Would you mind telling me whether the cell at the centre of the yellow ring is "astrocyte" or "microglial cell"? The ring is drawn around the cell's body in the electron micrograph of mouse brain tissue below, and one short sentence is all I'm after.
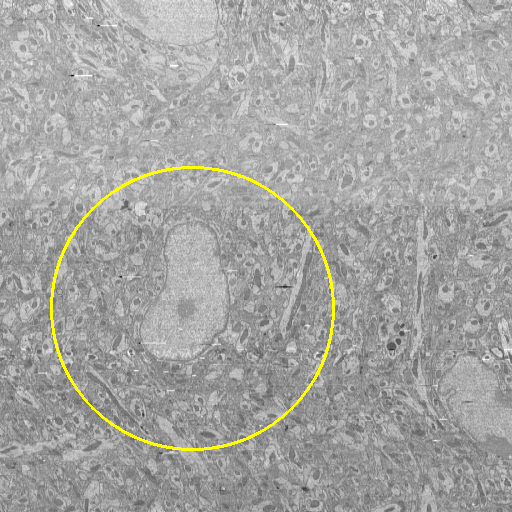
In the centre of the ring lies an astrocyte.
